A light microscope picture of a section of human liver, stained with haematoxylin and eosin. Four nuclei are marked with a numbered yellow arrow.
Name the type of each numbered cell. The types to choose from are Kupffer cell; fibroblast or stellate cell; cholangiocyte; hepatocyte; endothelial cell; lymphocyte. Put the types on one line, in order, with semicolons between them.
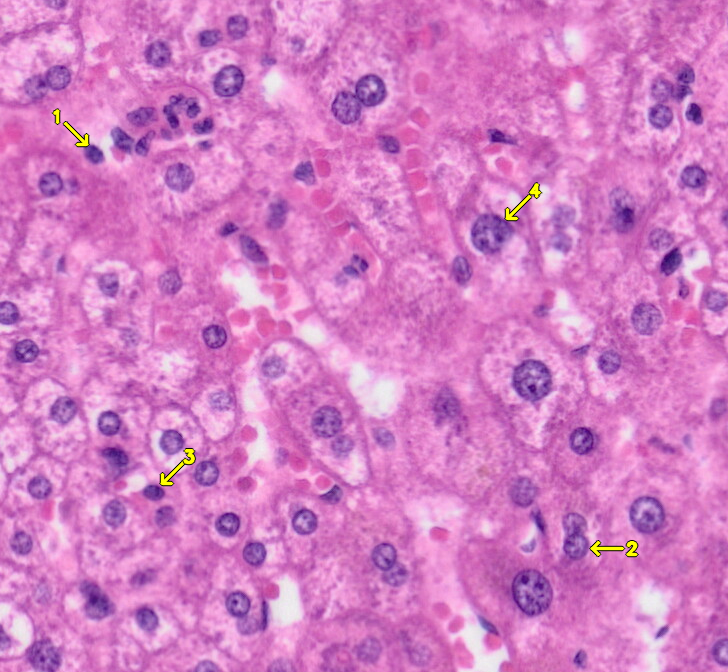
lymphocyte; hepatocyte; lymphocyte; hepatocyte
